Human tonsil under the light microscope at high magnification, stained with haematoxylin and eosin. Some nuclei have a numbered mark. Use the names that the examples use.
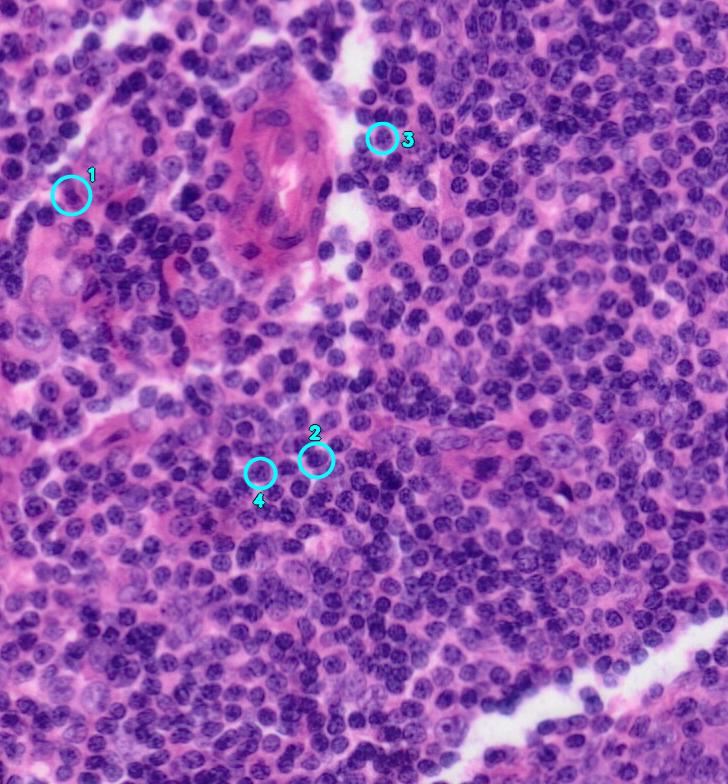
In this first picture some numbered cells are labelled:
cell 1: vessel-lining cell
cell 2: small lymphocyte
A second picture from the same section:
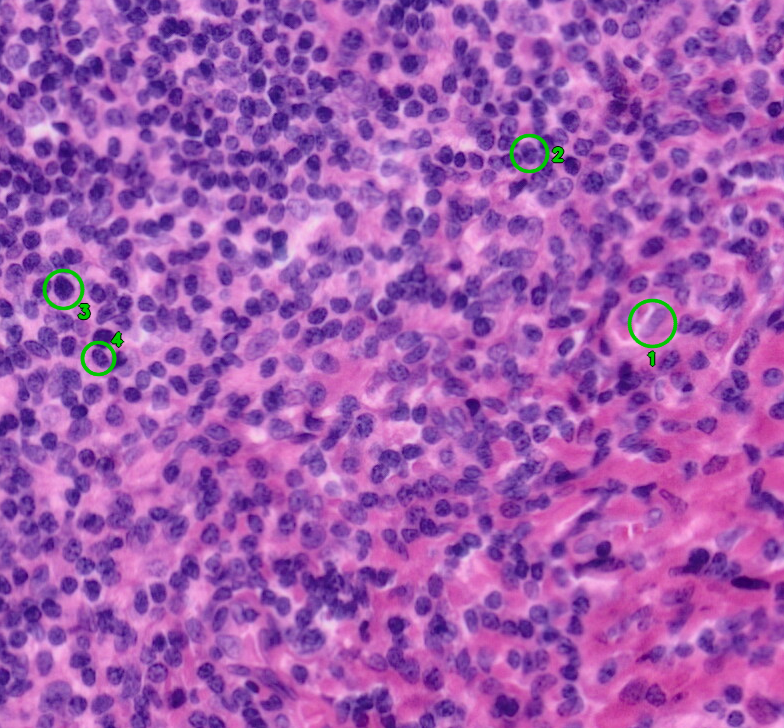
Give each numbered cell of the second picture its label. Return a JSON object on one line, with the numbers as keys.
{"1": "vessel-lining cell", "2": "small lymphocyte", "3": "small lymphocyte", "4": "small lymphocyte"}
